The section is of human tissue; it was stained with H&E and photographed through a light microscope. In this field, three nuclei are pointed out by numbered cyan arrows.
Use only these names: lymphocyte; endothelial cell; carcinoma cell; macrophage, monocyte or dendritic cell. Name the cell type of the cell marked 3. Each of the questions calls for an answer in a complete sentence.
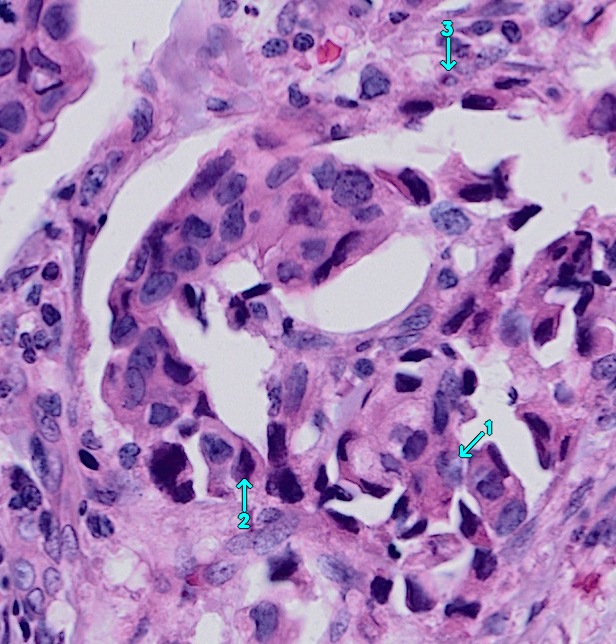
The nucleus labelled 3 belongs to a macrophage, monocyte or dendritic cell.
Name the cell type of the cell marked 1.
Classified as a carcinoma cell is the cell with the number 1.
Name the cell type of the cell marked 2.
The numeral 2 marks a carcinoma cell in this section.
